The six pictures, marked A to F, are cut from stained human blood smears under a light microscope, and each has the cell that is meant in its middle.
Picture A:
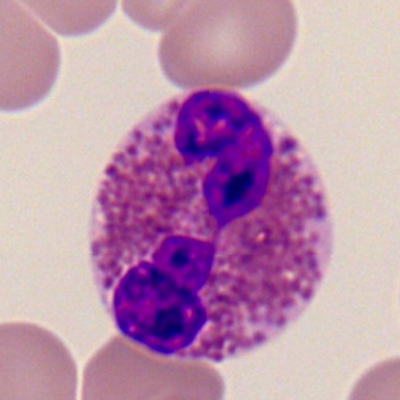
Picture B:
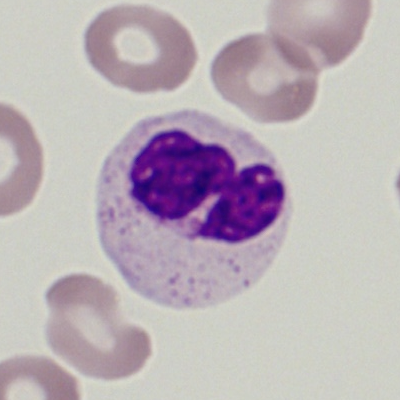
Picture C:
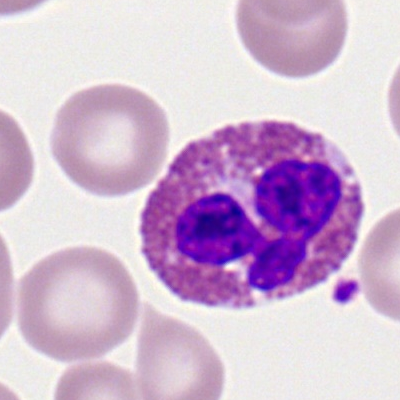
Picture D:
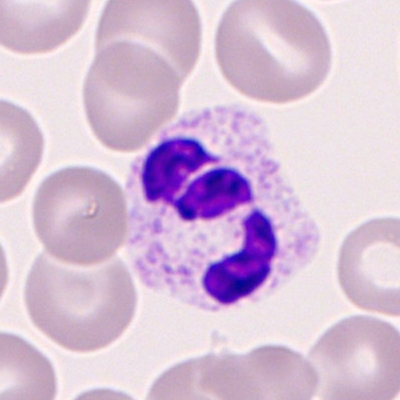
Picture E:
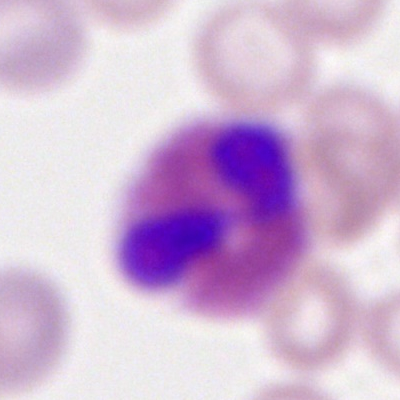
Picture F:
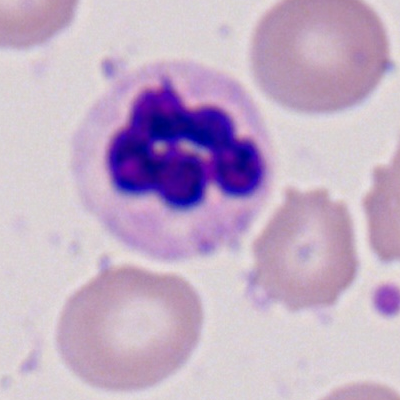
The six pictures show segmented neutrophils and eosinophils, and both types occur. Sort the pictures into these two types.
A: eosinophil
B: segmented neutrophil
C: eosinophil
D: segmented neutrophil
E: eosinophil
F: segmented neutrophil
